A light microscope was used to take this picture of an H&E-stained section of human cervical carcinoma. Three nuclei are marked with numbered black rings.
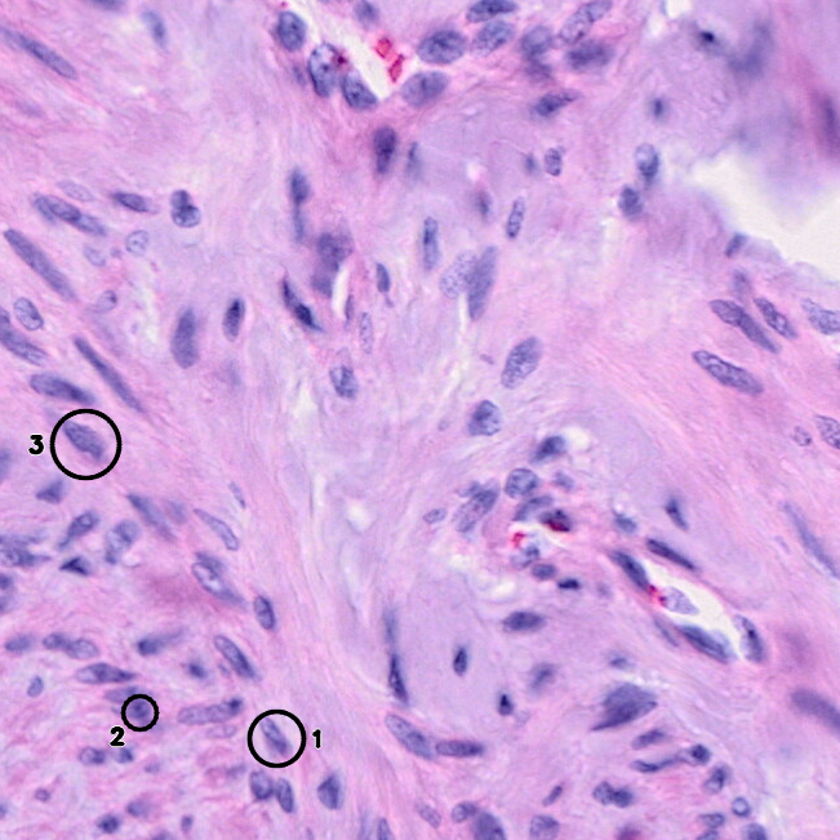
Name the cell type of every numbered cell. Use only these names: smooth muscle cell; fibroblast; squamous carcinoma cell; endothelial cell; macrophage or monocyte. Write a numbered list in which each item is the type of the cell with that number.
1. smooth muscle cell
2. smooth muscle cell
3. fibroblast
